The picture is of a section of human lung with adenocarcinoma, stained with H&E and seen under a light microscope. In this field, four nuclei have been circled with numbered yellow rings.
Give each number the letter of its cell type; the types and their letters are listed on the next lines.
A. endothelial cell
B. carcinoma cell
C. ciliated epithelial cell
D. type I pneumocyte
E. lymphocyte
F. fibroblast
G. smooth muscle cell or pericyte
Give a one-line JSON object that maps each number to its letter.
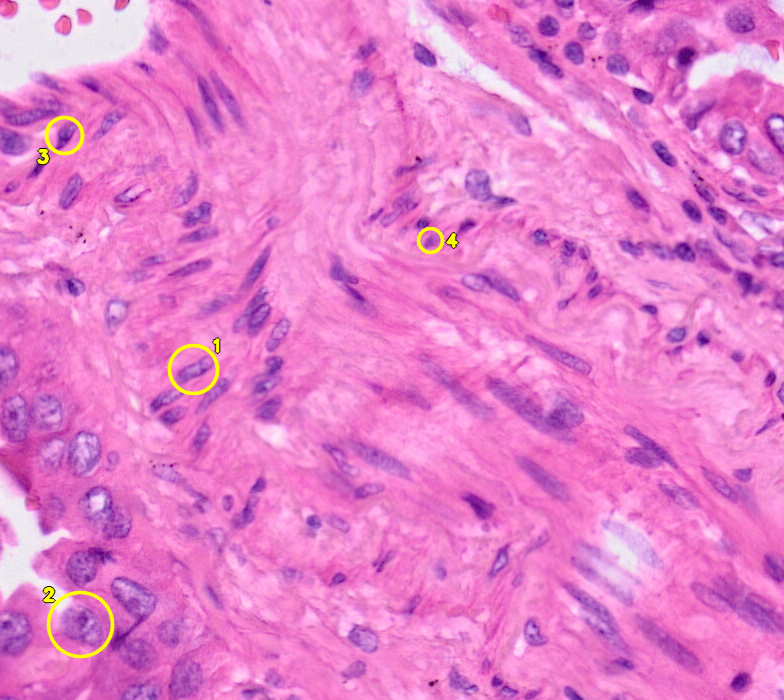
{"1": "G", "2": "B", "3": "G", "4": "G"}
